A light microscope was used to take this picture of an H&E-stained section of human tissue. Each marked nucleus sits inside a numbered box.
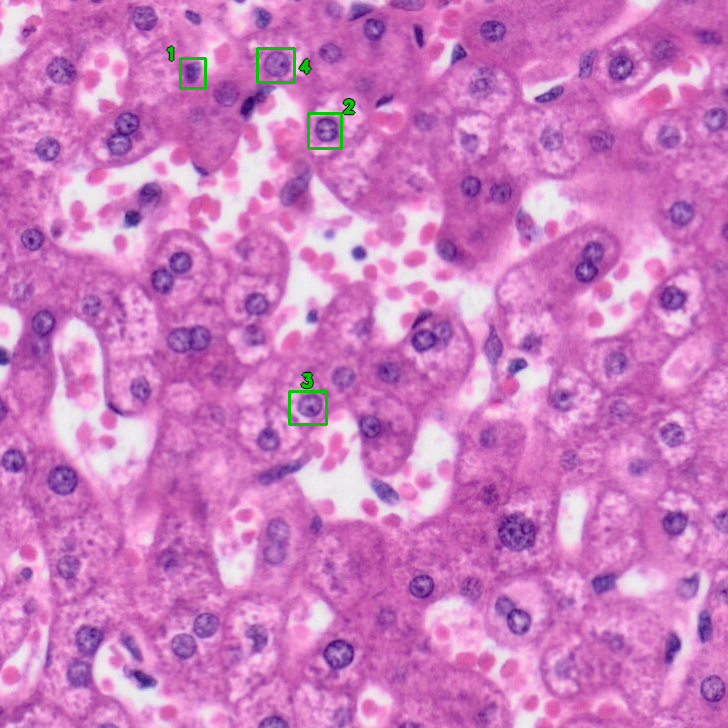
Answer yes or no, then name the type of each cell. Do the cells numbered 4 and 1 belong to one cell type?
No, cell 4 is a hepatocyte; as for cell 1, that one is a fibroblast or stellate cell.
